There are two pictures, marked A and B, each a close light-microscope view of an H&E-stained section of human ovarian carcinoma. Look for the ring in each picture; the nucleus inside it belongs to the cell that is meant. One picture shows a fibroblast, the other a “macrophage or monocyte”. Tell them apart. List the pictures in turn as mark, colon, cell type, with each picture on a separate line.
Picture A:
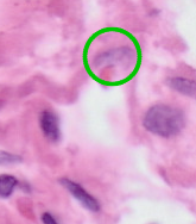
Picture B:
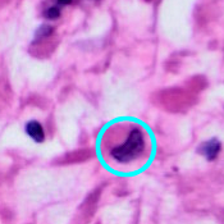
A: fibroblast
B: macrophage or monocyte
